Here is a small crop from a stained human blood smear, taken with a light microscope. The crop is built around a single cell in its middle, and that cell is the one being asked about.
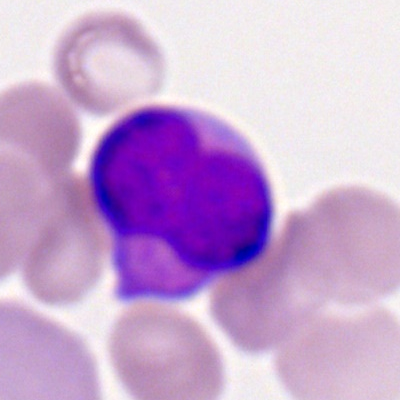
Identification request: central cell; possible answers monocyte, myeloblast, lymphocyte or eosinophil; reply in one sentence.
Answering briefly, the cell in the middle is a myeloblast.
